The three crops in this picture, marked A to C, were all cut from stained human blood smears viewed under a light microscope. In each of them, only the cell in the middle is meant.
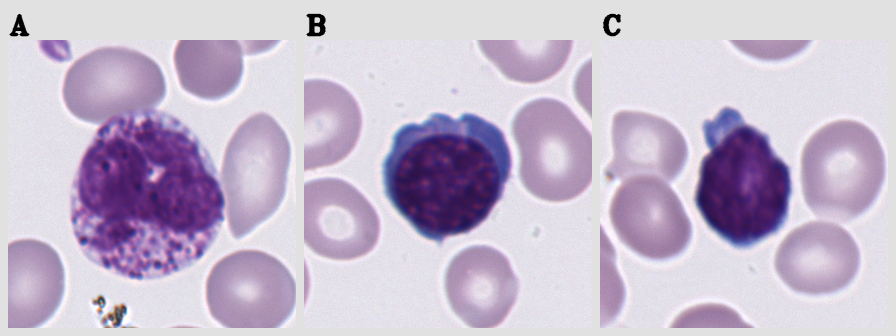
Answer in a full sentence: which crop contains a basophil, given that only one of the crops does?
Among the crops provided, a basophil occupies the center of crop A.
